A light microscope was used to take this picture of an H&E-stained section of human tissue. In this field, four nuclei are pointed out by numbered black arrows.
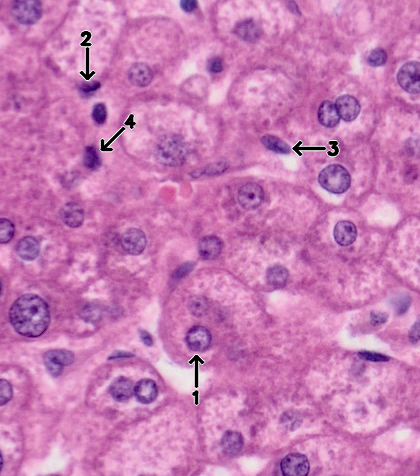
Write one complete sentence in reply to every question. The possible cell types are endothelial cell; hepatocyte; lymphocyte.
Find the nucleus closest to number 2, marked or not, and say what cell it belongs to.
It is a lymphocyte whose nucleus is nearest to number 2.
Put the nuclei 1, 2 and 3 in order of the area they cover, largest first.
Largest first, the order by area is 1, 3, 2.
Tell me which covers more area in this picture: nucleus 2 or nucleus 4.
The larger nucleus is 4, at roughly 1.5 times the area of 2.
